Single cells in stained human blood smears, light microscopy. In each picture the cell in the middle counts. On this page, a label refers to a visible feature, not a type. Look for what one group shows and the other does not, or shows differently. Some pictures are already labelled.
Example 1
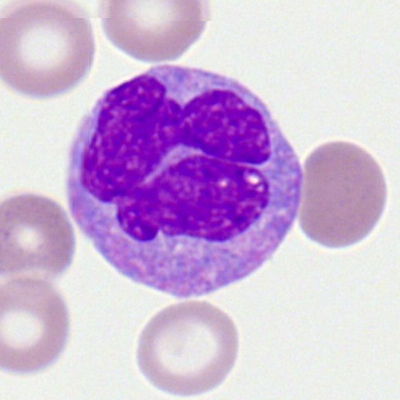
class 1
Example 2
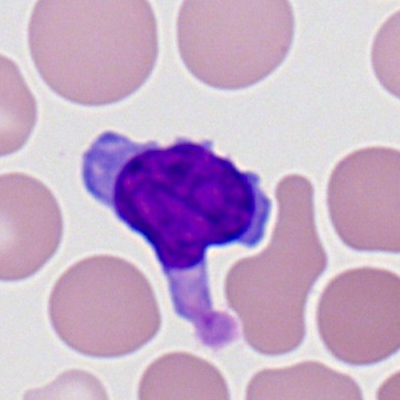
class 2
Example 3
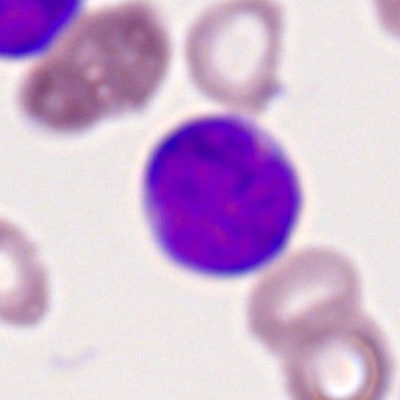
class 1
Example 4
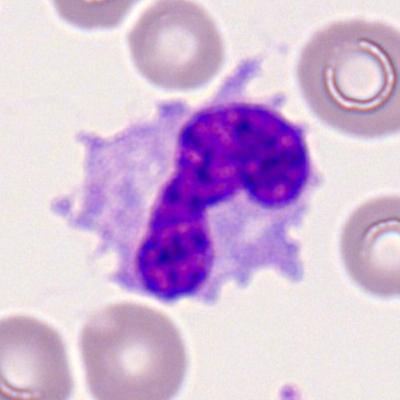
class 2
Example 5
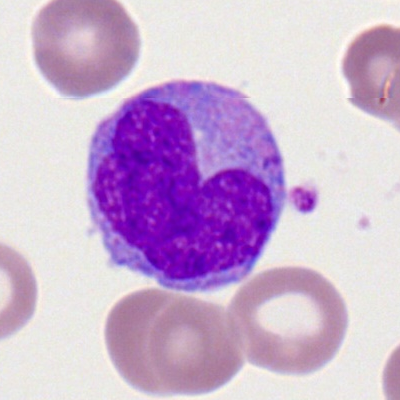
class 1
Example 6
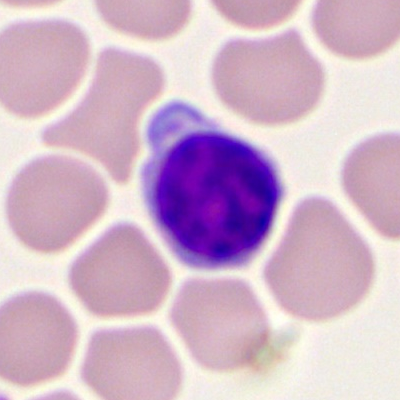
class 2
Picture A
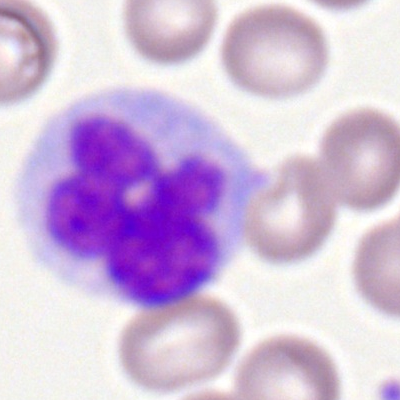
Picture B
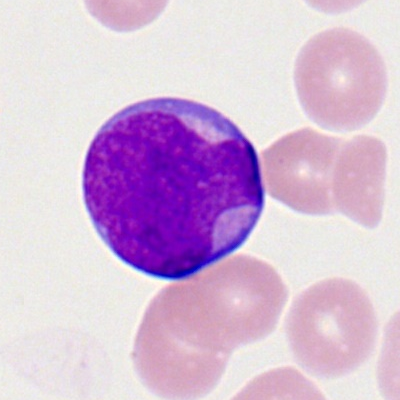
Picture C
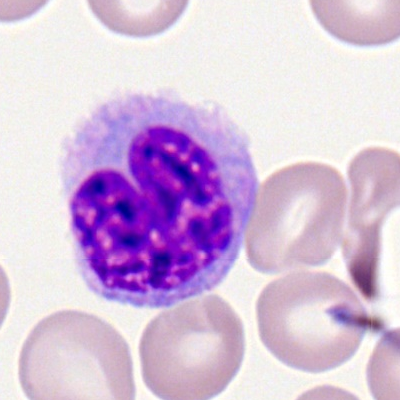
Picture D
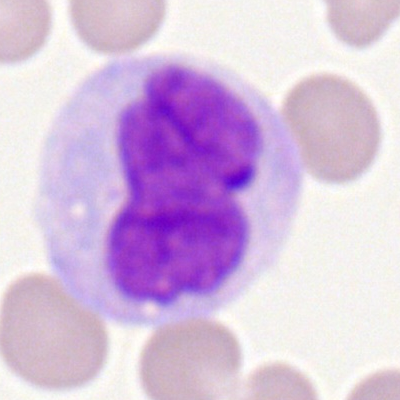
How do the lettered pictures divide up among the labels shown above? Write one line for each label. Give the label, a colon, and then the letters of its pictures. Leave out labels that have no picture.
class 1: A, B, D
class 2: C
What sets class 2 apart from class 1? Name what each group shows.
Seen in class 2: ragged outline or projections; seen in class 1: smooth outline.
